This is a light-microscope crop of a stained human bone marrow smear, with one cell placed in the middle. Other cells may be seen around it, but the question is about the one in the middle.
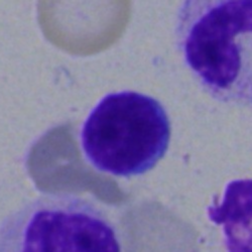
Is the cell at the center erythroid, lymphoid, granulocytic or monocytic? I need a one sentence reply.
Regarding the central cell, its lineage is lymphoid.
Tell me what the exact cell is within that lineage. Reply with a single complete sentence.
The cell at the heart of this crop is a lymphocyte.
